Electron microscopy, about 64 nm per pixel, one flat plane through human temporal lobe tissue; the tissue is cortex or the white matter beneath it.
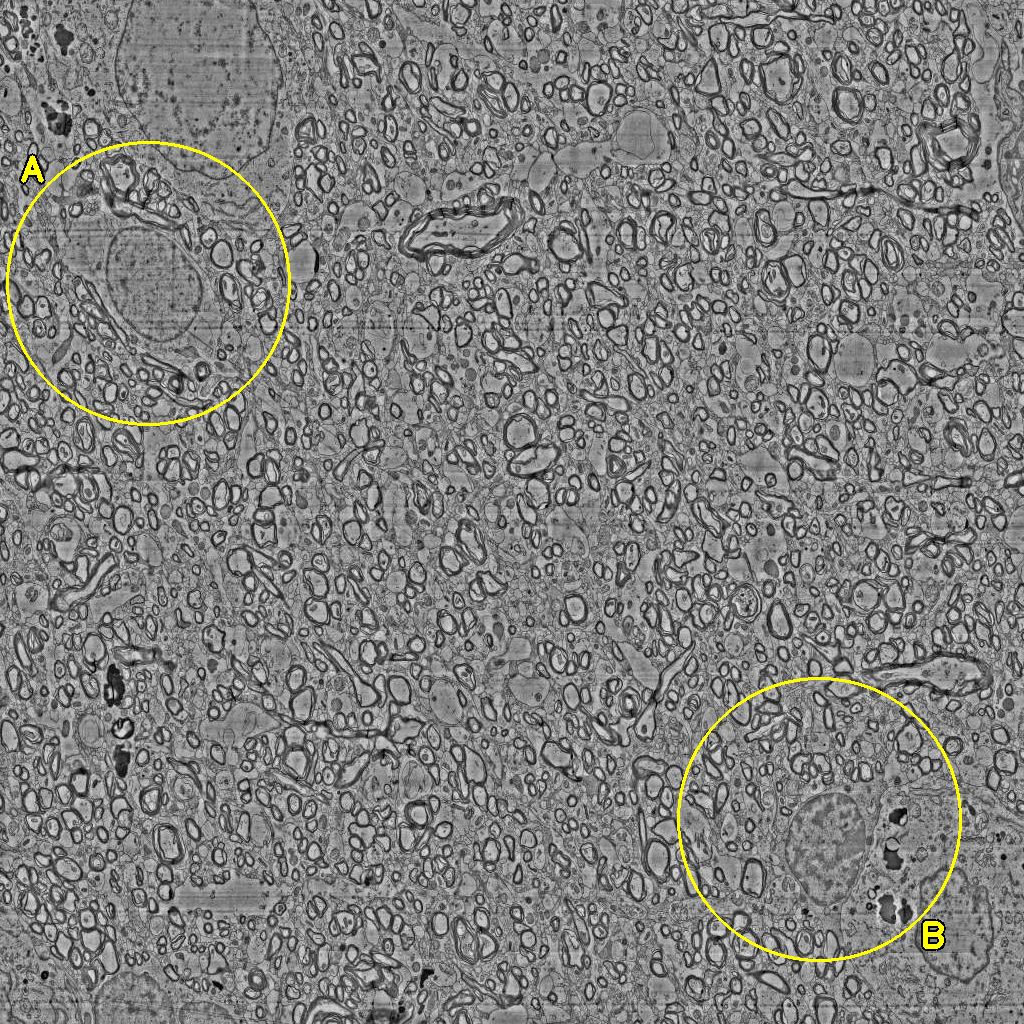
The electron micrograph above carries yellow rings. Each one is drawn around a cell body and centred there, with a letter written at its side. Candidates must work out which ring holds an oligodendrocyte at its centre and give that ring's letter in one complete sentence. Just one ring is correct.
Letter B marks the ring whose centre holds that kind of cell.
